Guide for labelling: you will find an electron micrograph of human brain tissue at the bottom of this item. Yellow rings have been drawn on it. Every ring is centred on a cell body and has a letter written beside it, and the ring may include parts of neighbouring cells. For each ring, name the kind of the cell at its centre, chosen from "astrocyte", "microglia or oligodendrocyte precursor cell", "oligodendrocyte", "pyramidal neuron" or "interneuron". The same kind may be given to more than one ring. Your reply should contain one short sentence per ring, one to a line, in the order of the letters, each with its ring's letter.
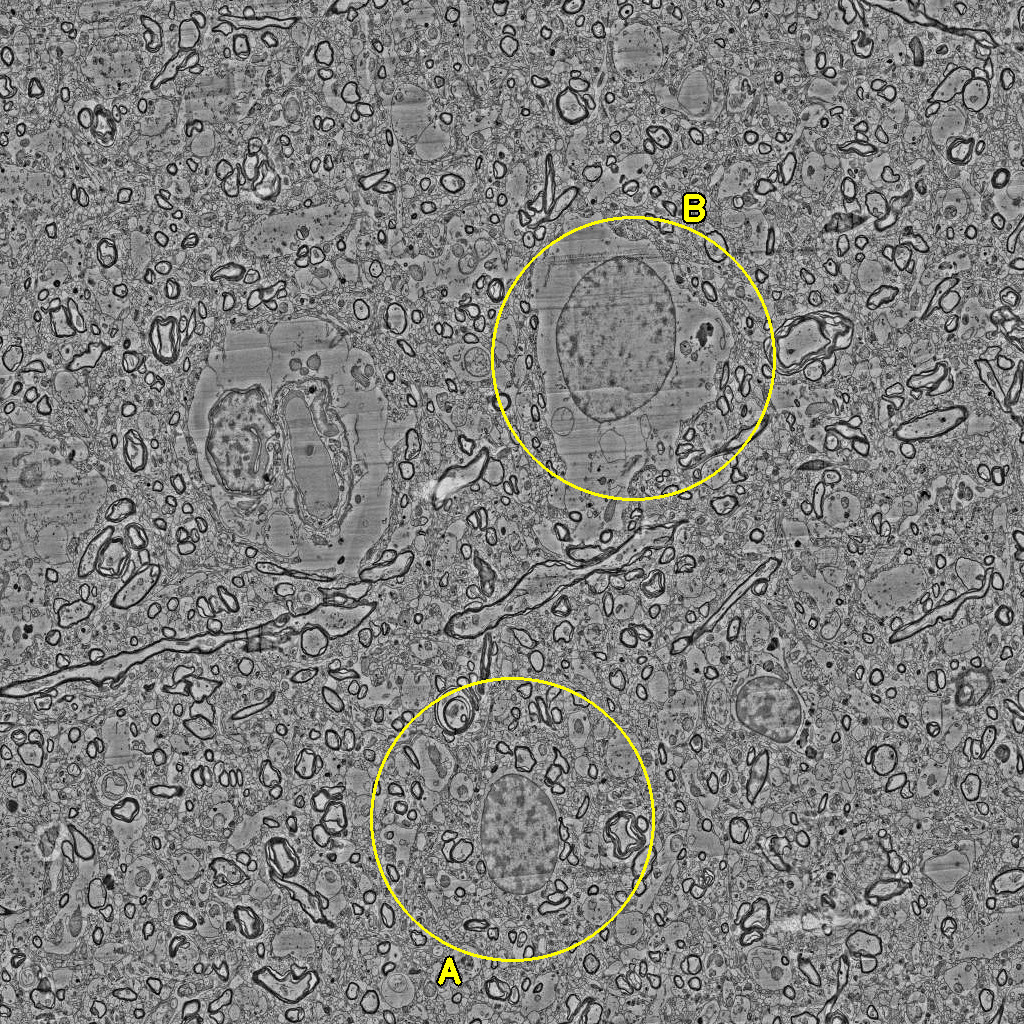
Ring A is centred on the body of an oligodendrocyte.
Ring B is centred on the body of an astrocyte.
